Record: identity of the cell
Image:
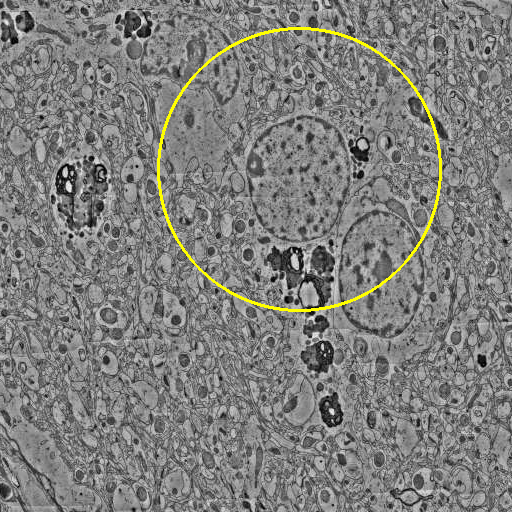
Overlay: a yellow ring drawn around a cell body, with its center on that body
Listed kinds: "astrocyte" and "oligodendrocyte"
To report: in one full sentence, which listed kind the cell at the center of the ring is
In the image, the cell body at the ring's center belongs to an astrocyte.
